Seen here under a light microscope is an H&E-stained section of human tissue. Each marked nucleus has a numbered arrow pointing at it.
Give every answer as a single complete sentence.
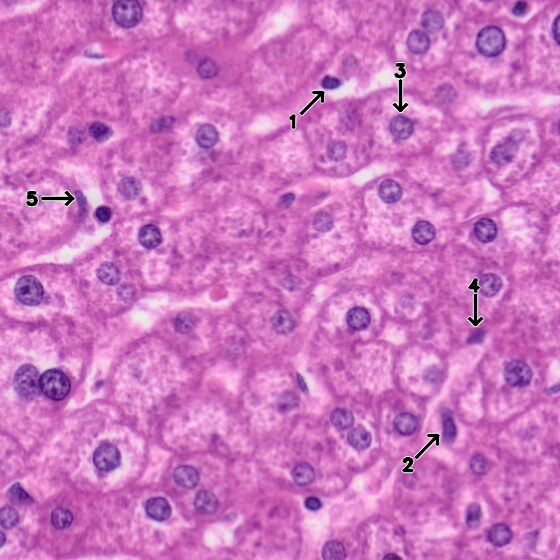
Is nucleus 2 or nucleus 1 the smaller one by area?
The smaller nucleus is 1, and 2 covers roughly 2 times its area.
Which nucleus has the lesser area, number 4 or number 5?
Nucleus 5 is the smaller one; nucleus 4 covers about 1.5 times its area.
